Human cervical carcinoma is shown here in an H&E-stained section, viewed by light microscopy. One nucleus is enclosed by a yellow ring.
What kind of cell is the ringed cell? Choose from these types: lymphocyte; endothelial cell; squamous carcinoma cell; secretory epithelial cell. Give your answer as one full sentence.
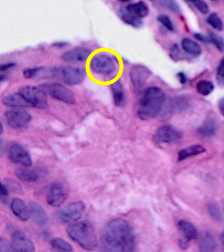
Labelled by cell type, the ringed cell is a secretory epithelial cell.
